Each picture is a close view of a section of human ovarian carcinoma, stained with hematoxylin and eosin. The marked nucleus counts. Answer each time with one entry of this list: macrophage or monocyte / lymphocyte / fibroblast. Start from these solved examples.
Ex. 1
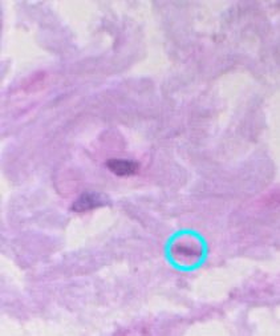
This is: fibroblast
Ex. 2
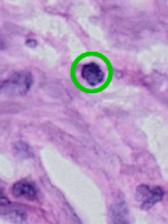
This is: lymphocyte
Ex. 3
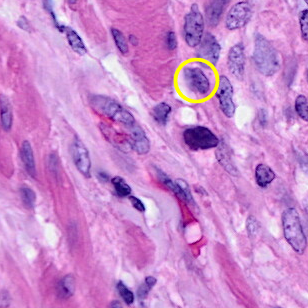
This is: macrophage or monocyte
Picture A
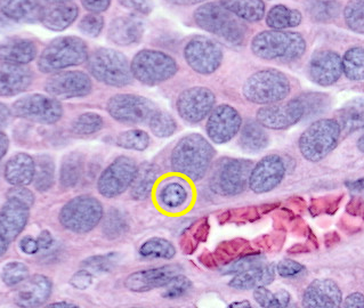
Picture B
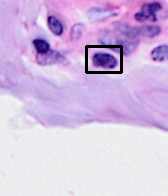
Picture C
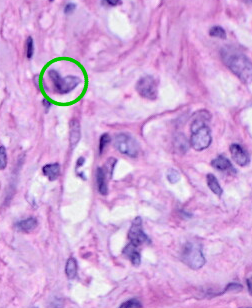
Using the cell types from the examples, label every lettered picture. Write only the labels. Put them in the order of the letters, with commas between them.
macrophage or monocyte, lymphocyte, macrophage or monocyte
